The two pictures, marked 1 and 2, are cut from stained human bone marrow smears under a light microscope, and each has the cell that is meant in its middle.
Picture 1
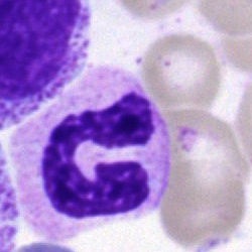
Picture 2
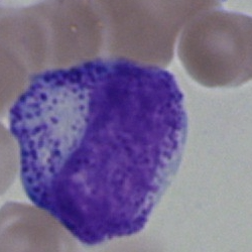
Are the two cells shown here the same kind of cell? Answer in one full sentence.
No, they differ: the cell is a band neutrophil in picture 1 and a metamyelocyte in picture 2.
